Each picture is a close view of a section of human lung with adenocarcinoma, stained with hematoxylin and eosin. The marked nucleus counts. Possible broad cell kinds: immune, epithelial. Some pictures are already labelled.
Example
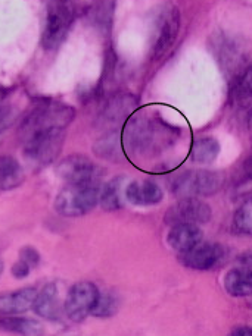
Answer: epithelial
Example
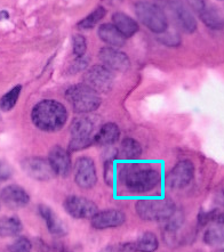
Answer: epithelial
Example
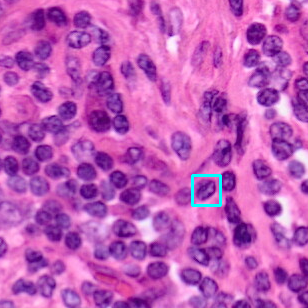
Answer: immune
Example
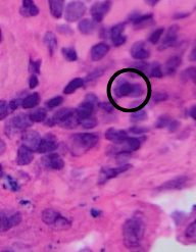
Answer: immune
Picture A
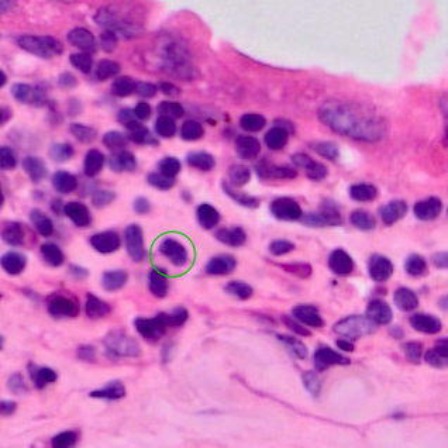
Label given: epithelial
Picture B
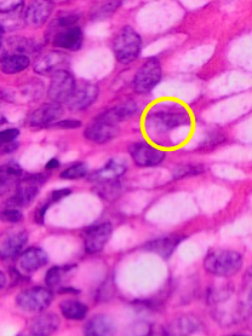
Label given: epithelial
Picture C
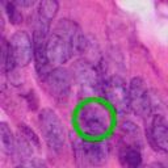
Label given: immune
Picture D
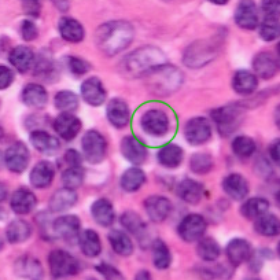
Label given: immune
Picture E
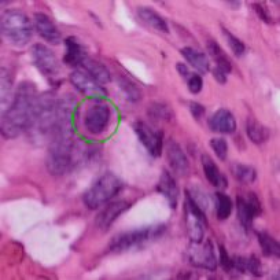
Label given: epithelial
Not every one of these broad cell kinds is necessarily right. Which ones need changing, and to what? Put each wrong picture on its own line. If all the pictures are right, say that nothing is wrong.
A: not epithelial but immune
C: not immune but epithelial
